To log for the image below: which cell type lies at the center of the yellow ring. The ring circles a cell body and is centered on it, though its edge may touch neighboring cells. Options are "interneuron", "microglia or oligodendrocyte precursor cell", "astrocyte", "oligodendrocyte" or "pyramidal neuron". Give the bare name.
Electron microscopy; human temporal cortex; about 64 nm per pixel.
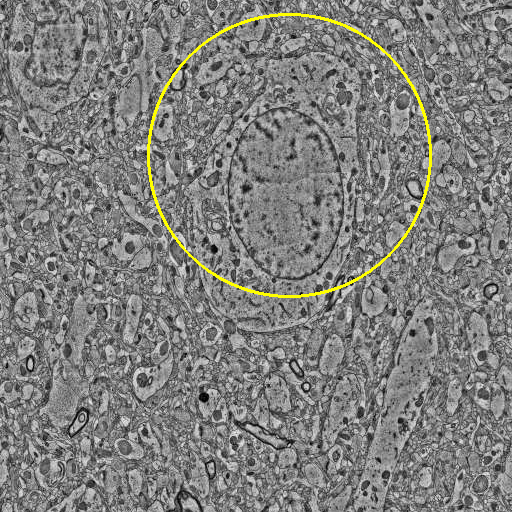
pyramidal neuron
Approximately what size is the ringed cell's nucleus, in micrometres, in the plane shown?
In this plane the nucleus measures roughly 11 by 7 micrometers.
